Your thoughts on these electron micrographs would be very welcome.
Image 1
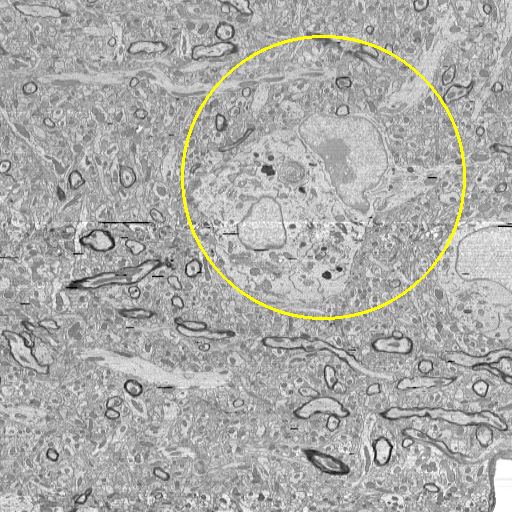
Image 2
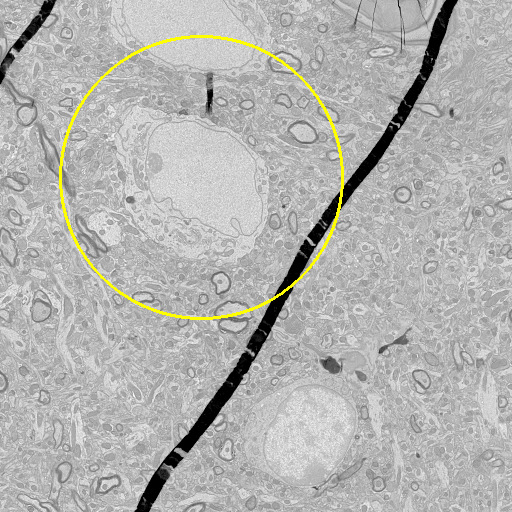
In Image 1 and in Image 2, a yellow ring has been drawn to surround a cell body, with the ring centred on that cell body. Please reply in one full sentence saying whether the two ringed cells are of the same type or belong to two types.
The ringed cells in Image 1 and Image 2 belong to two types.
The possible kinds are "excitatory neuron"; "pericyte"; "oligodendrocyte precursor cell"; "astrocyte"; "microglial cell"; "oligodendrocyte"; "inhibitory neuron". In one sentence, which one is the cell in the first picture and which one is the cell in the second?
The cell ringed in the second picture is an excitatory neuron, whereas the one ringed in the first is an oligodendrocyte precursor cell.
